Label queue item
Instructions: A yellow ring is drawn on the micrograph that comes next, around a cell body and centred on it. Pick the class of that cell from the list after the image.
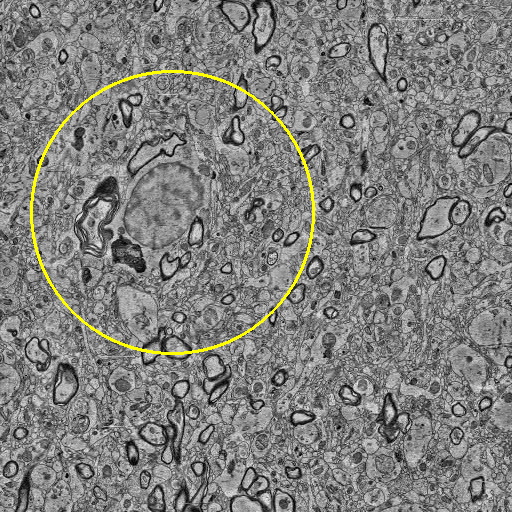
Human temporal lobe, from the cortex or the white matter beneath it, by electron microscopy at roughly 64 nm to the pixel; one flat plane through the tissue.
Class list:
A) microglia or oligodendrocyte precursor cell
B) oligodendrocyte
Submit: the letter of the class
B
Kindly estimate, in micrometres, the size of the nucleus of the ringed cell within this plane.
The ringed cell's nucleus measures approximately 6 by 5 micrometres in this plane.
